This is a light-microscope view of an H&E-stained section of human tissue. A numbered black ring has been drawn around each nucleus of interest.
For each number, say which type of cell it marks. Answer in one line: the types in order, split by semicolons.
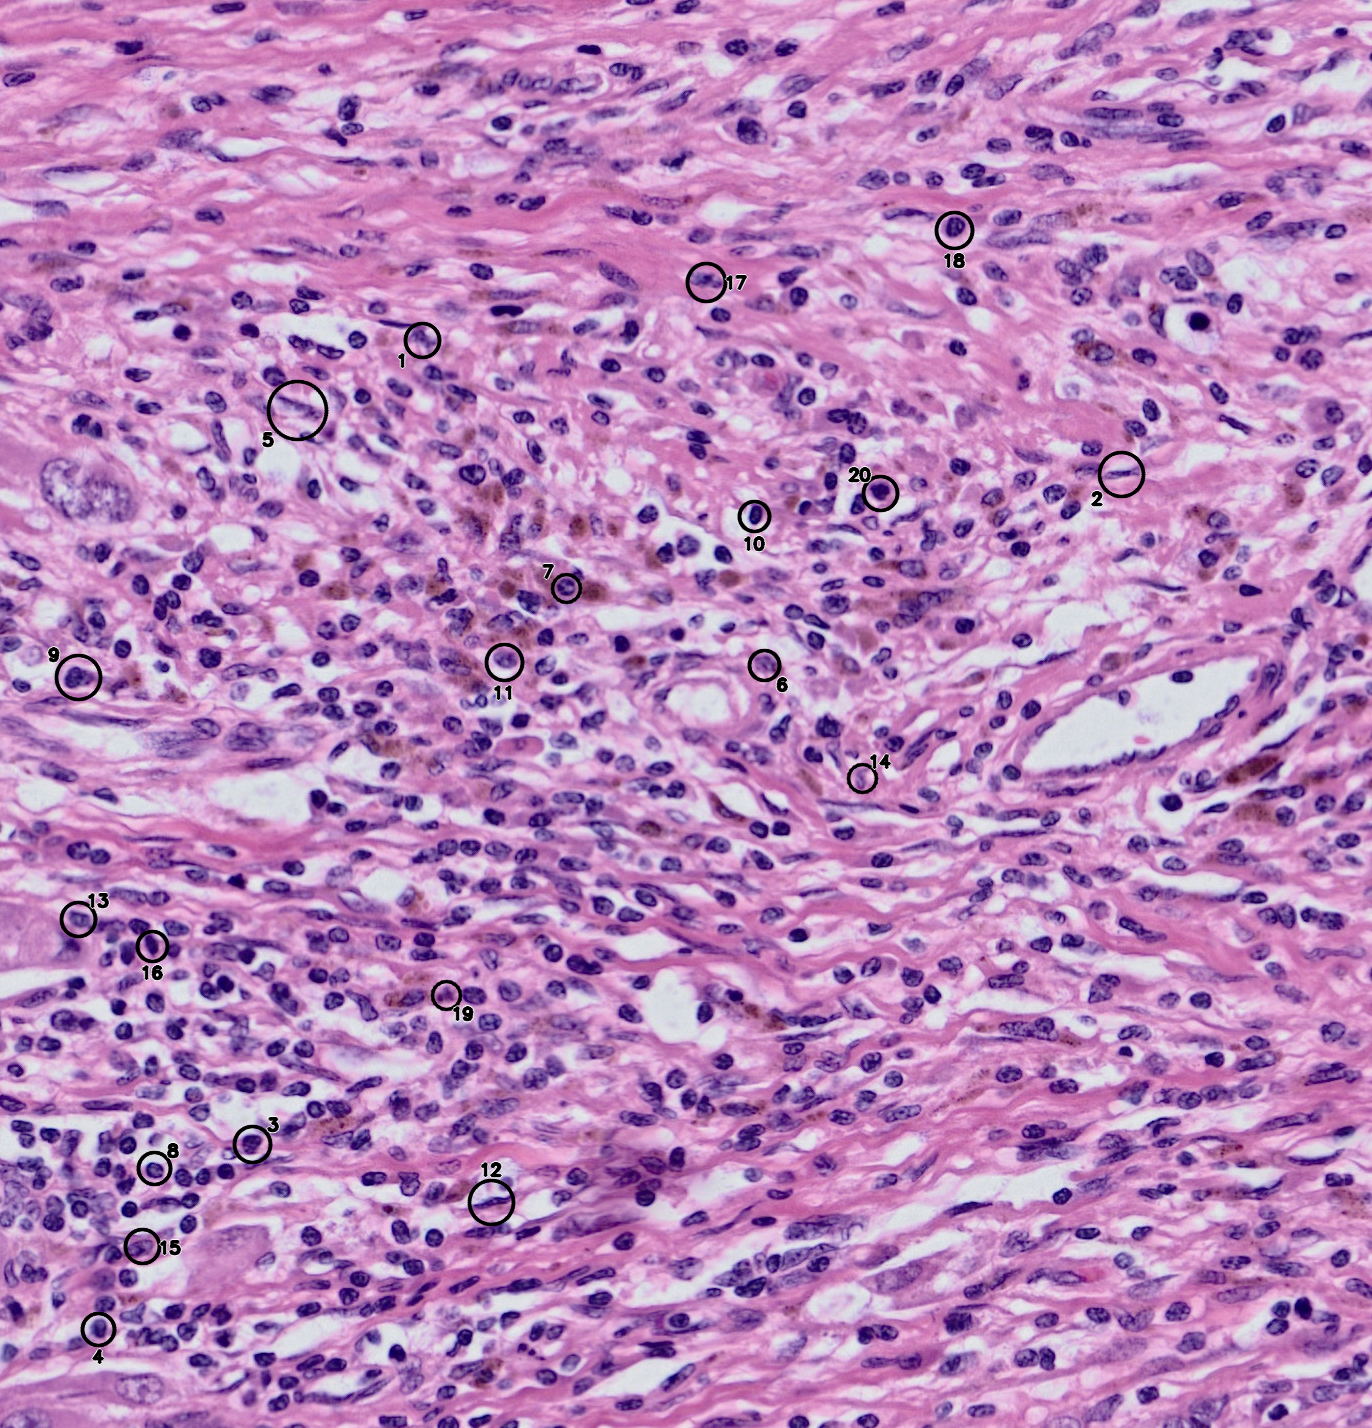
fibroblast or myofibroblast; fibroblast or myofibroblast; lymphocyte; lymphocyte; fibroblast or myofibroblast; macrophage or monocyte; plasma cell; lymphocyte; lymphocyte; lymphocyte; lymphocyte; fibroblast or myofibroblast; lymphocyte; fibroblast or myofibroblast; macrophage or monocyte; lymphocyte; lymphocyte; plasma cell; macrophage or monocyte; plasma cell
